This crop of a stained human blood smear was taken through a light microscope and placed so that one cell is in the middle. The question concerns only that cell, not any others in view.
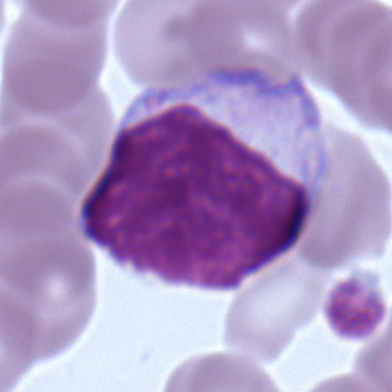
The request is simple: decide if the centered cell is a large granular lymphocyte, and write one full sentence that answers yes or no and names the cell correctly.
Yes, the cell that the crop is centered on is a large granular lymphocyte.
